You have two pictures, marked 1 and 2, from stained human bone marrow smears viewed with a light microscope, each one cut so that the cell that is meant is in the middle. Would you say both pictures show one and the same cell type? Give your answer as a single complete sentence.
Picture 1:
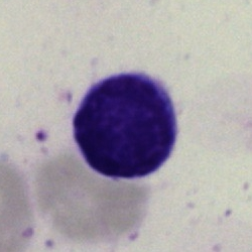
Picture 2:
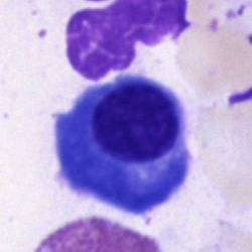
No. Picture 1 shows a lymphocyte, but picture 2 shows a plasma cell.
